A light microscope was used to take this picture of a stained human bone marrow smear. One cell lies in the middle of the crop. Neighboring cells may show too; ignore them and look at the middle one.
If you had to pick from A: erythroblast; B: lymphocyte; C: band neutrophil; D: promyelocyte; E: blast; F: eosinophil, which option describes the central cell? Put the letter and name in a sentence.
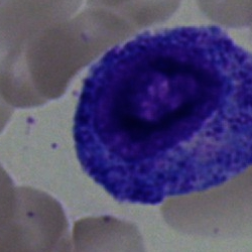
This one is option D, since the cell at the center is a promyelocyte.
